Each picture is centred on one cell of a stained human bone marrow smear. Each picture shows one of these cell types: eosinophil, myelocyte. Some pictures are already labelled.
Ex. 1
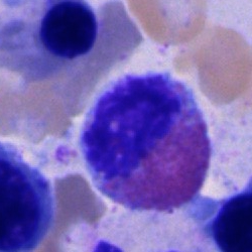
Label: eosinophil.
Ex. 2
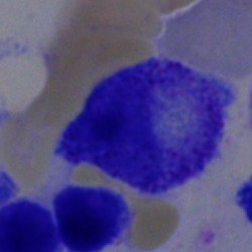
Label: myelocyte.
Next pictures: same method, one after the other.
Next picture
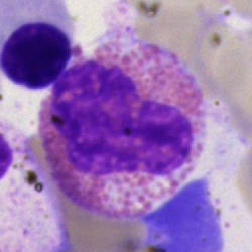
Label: eosinophil.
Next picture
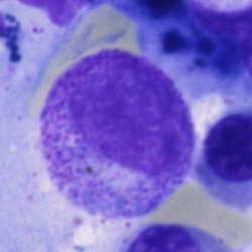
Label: myelocyte.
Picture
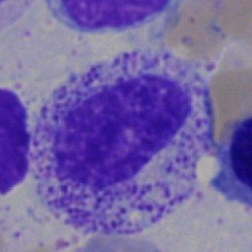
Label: myelocyte.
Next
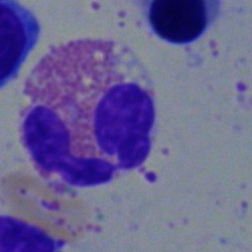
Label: eosinophil.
